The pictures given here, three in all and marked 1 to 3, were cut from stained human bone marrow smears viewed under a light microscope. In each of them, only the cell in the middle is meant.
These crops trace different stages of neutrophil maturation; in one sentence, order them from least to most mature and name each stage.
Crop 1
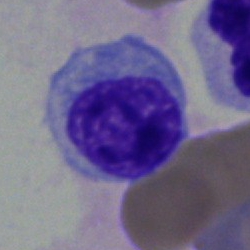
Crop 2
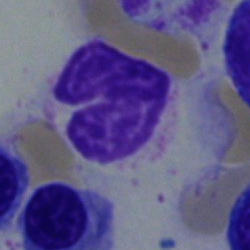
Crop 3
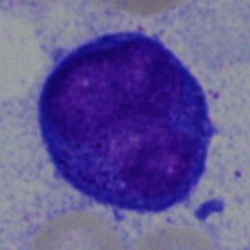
In order of increasing maturity, the crops run crop 3 (a promyelocyte), crop 1 (a myelocyte) and crop 2 (a band neutrophil).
